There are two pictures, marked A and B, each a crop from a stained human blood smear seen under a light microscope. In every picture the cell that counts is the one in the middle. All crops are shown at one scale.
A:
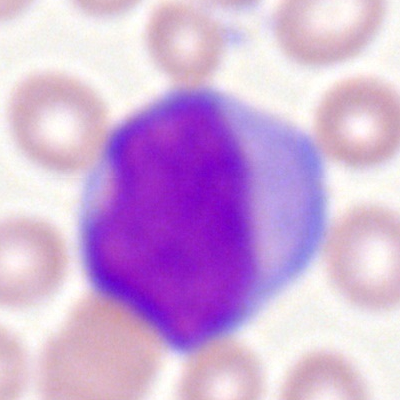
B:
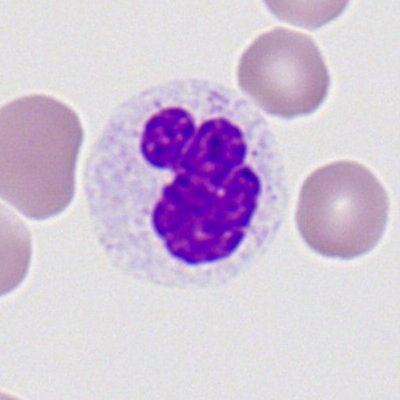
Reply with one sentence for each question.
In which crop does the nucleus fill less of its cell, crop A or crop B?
It is the cell in crop B that is filled less by its nucleus.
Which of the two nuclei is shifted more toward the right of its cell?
It is the nucleus in crop B that lies further toward the right of its cell.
